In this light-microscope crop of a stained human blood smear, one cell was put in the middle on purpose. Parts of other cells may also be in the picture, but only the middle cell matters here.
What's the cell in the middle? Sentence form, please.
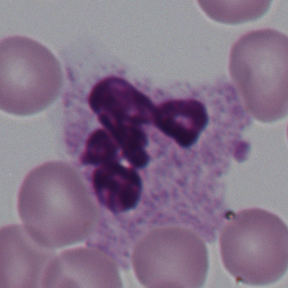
The cell at the heart of this crop is a segmented neutrophil.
